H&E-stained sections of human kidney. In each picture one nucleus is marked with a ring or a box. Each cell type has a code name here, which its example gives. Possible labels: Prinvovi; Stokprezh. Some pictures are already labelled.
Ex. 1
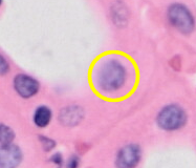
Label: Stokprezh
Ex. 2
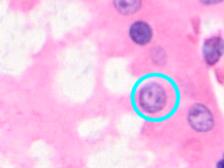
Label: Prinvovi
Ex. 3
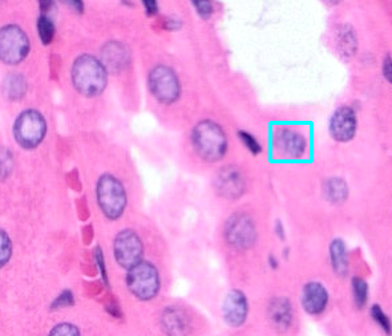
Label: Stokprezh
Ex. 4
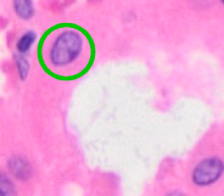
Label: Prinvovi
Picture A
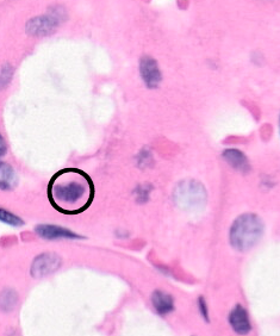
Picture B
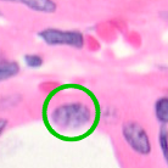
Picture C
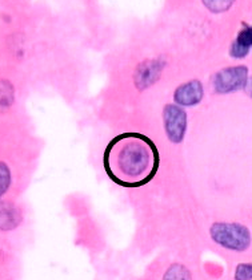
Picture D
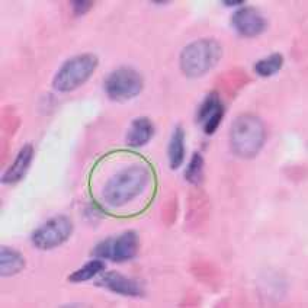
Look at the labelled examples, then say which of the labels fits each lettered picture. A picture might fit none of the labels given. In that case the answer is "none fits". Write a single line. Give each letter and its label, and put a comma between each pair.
A Stokprezh, B none fits, C Prinvovi, D none fits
